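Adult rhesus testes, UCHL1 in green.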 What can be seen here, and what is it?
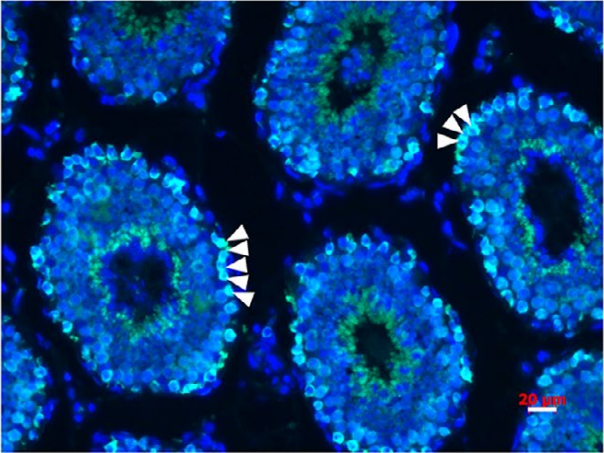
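This fluorescence view shows seminiferous tubules in cross section, their epithelium crowded with blue nuclei. White arrowheads point to cells in the outermost basal layer whose cytoplasm glows bright green, lying side by side against the tubule wall; these are spermatogonia. Many other green-rimmed cells line the periphery of the tubules, and a fainter green band lies nearer the lumen. The spaces between tubules are dark with only scattered blue nuclei.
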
